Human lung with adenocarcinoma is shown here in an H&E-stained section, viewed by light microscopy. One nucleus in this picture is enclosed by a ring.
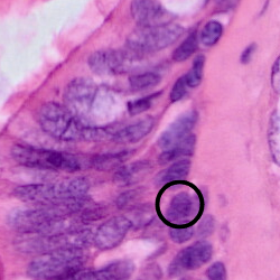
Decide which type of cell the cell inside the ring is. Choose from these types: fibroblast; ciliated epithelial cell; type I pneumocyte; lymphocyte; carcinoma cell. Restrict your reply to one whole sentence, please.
At the level of cell identity, the cell inside the ring is a ciliated epithelial cell.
